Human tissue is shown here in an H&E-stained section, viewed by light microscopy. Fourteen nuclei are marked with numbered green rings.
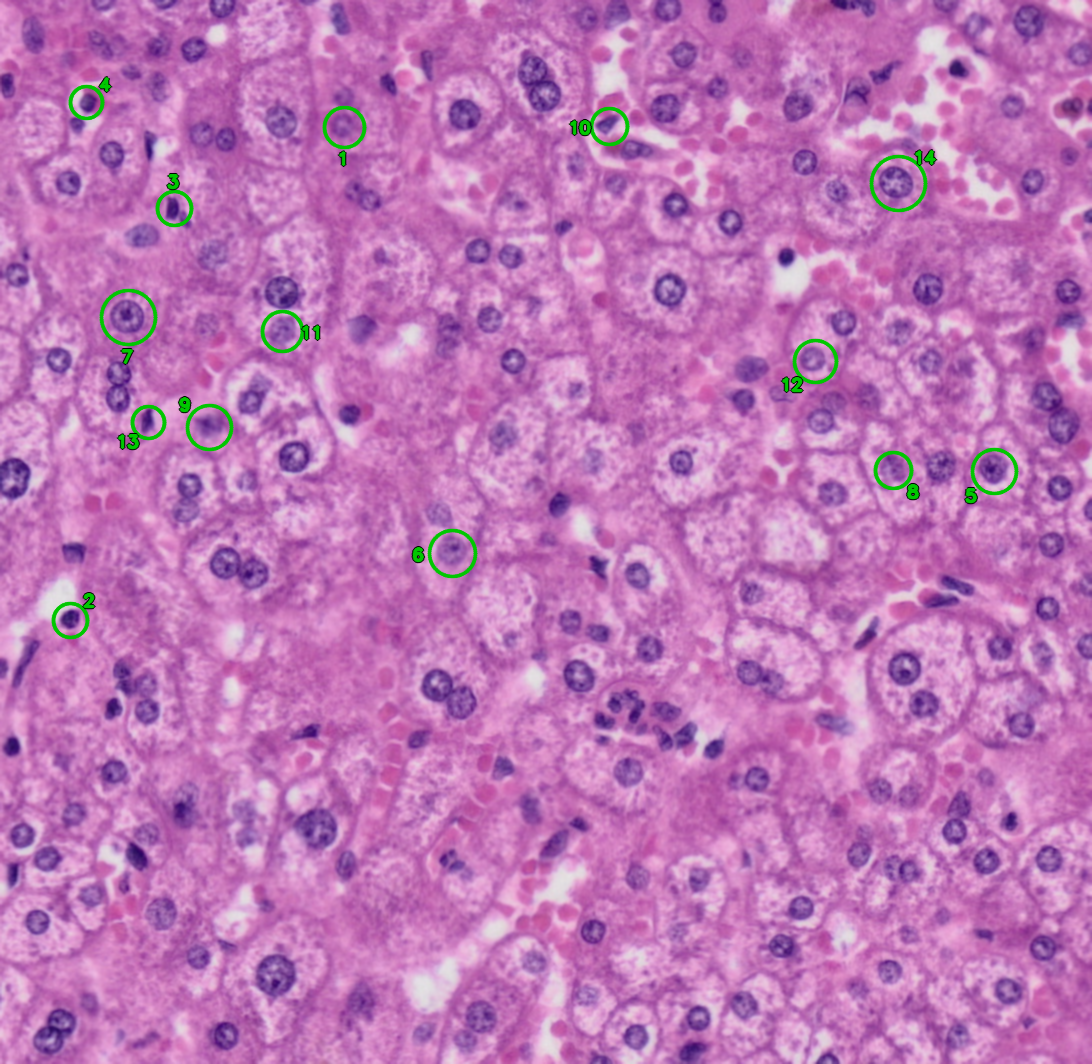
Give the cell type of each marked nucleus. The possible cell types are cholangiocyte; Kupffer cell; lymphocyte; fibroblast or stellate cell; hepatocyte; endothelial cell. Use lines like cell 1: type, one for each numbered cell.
cell 1: hepatocyte
cell 2: lymphocyte
cell 3: fibroblast or stellate cell
cell 4: lymphocyte
cell 5: hepatocyte
cell 6: hepatocyte
cell 7: hepatocyte
cell 8: hepatocyte
cell 9: endothelial cell
cell 10: lymphocyte
cell 11: hepatocyte
cell 12: hepatocyte
cell 13: endothelial cell
cell 14: hepatocyte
